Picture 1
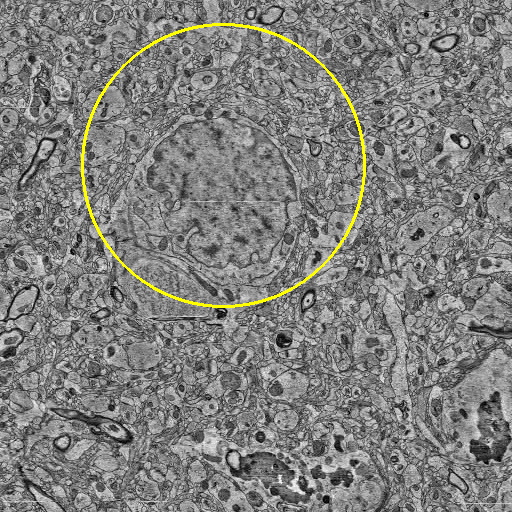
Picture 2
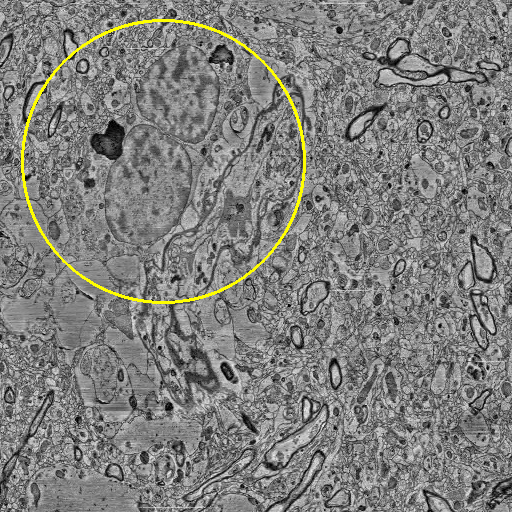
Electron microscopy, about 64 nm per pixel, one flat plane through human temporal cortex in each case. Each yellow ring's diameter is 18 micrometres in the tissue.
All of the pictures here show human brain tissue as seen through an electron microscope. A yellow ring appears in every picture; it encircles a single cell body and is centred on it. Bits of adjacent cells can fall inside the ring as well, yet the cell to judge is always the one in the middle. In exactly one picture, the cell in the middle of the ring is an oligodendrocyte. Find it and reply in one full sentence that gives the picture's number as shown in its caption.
Of all the pictures, picture 2 has the right cell at the centre of its ring.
